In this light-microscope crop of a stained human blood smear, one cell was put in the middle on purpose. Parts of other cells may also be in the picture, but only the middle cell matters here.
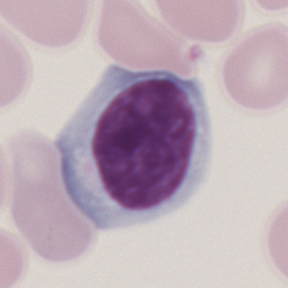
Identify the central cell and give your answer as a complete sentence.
In this crop, the cell at the very middle is a typical lymphocyte.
